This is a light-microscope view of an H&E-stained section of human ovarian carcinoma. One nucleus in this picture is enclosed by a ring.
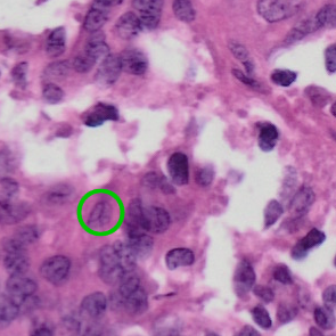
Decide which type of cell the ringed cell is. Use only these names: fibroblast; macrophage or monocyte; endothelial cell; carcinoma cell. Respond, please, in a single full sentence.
Within the stained tissue, the ringed cell is an endothelial cell.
